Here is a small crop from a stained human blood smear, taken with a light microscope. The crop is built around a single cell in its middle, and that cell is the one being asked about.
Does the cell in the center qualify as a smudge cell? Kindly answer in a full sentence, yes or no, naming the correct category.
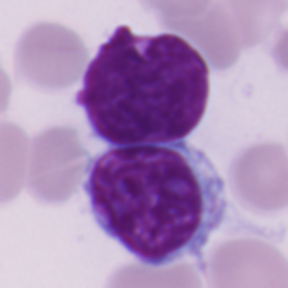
No, looking at the central cell, it is a myeloblast rather than a smudge cell.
